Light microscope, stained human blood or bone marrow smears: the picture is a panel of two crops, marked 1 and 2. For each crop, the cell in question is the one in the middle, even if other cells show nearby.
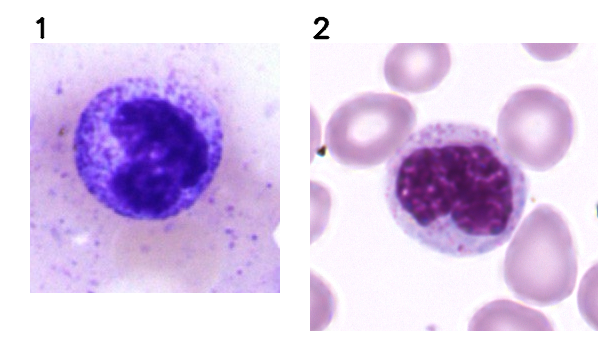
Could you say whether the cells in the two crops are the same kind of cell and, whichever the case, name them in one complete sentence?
No, crop 1 contains a metamyelocyte, and crop 2 contains a band neutrophil.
